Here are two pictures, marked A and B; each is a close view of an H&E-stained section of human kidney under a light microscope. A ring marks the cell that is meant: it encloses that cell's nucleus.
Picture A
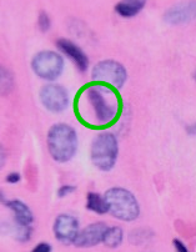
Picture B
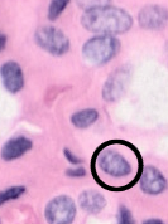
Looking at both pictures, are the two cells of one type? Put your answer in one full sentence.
Yes, both cells are collecting duct cells.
